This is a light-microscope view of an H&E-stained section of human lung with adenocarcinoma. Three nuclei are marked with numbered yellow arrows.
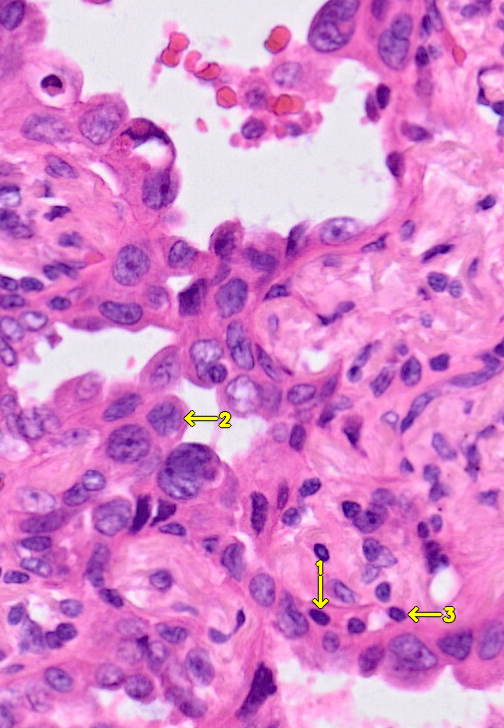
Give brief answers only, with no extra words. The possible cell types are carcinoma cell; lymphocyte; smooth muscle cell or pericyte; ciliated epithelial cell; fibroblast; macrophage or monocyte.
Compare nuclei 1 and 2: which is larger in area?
2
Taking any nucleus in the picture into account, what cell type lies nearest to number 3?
lymphocyte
